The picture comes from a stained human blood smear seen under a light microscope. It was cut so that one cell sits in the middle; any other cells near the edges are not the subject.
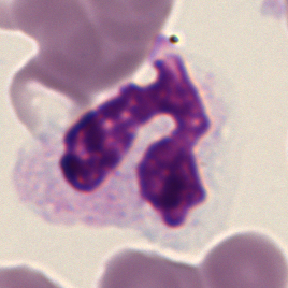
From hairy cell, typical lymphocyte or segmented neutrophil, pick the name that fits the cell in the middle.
segmented neutrophil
